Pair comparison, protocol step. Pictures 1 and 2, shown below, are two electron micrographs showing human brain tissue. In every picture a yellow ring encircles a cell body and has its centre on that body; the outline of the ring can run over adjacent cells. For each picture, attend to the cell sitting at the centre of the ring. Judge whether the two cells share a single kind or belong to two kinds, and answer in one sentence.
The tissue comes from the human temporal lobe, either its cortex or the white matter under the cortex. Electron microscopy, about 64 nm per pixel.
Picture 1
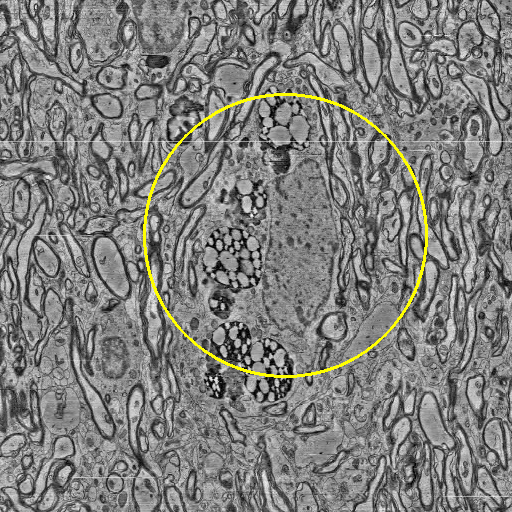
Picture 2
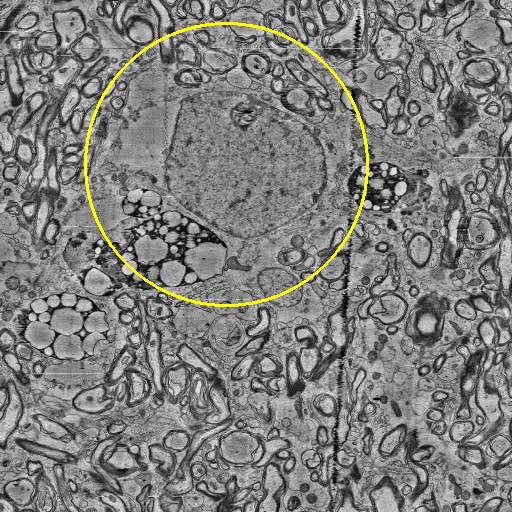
The two cells at the ring centres in Picture 1 and Picture 2 share a single kind.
